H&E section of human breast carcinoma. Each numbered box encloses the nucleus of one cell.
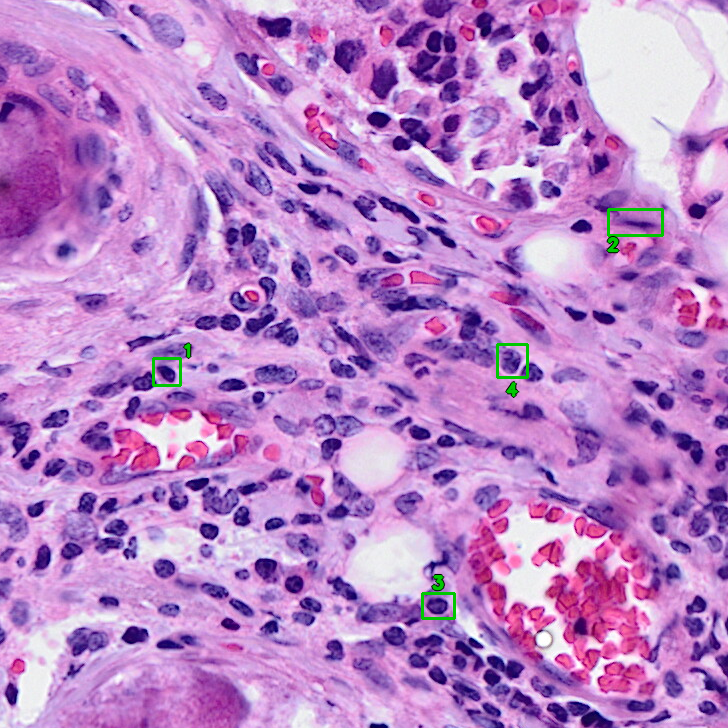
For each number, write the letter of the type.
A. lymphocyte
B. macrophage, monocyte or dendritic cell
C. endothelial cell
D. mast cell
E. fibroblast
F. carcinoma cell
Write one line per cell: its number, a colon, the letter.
1: A
2: C
3: A
4: A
